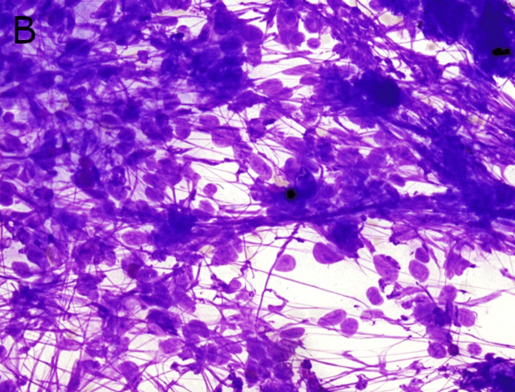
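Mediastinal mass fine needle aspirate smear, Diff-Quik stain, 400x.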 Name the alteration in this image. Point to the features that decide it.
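Nuclei lie entangled among the stretched strands.
Hence: streaking artifact.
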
